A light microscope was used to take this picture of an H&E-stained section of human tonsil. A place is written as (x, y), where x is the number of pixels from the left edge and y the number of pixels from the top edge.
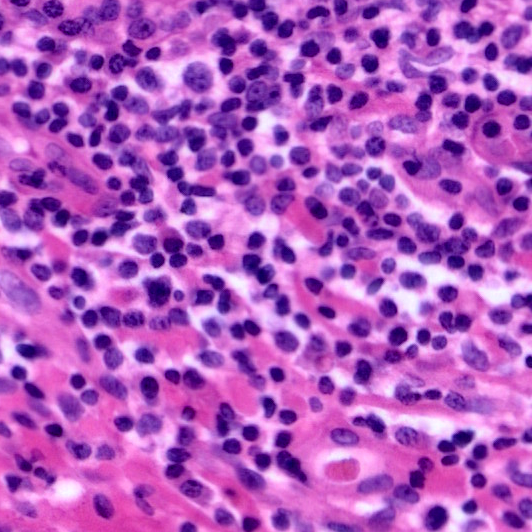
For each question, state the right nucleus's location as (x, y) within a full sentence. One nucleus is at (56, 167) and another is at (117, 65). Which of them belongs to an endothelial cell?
It is the nucleus at (56, 167) that forms part of an endothelial cell.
